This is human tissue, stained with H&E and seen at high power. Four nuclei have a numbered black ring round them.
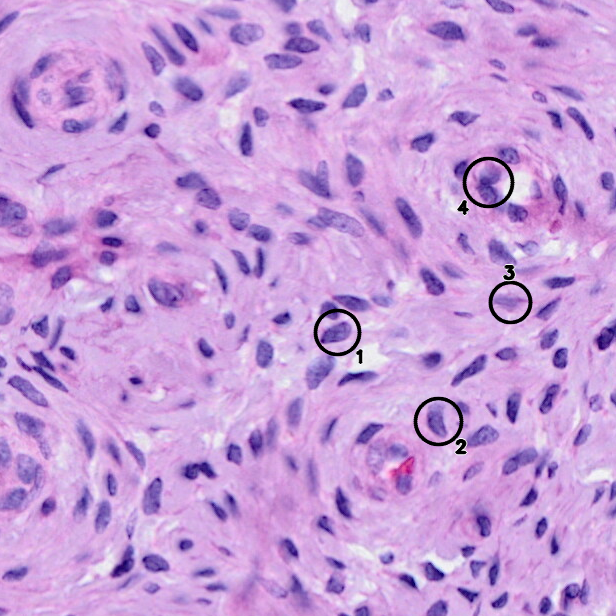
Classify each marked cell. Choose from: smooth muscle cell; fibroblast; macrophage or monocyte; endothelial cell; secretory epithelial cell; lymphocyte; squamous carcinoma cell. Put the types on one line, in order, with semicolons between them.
fibroblast; fibroblast; fibroblast; endothelial cell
